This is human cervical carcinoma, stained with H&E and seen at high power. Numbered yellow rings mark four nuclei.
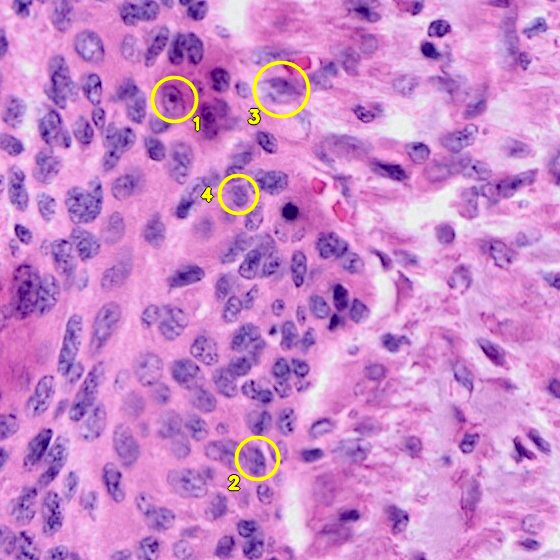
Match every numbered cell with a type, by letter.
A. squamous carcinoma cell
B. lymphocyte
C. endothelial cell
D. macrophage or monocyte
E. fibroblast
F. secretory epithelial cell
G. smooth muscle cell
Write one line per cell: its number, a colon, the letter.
1: A
2: A
3: C
4: A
